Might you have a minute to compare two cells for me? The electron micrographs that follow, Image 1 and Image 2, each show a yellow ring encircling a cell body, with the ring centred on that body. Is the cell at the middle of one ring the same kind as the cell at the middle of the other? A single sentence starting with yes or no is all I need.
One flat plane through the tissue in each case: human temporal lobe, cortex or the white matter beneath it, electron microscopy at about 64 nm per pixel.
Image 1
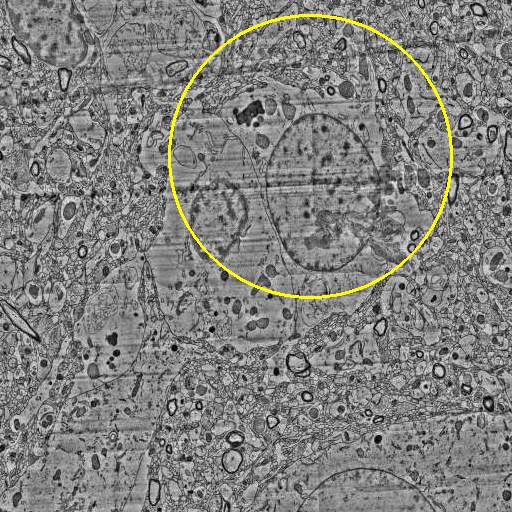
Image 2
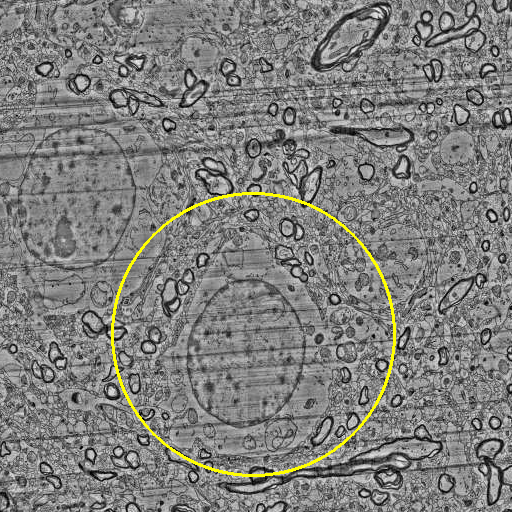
Yes, the cells in the middle of the two rings are of one shared kind.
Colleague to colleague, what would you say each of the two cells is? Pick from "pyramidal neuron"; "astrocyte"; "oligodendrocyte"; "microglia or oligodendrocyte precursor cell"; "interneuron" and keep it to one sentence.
Each of the two rings is centred on an astrocyte.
